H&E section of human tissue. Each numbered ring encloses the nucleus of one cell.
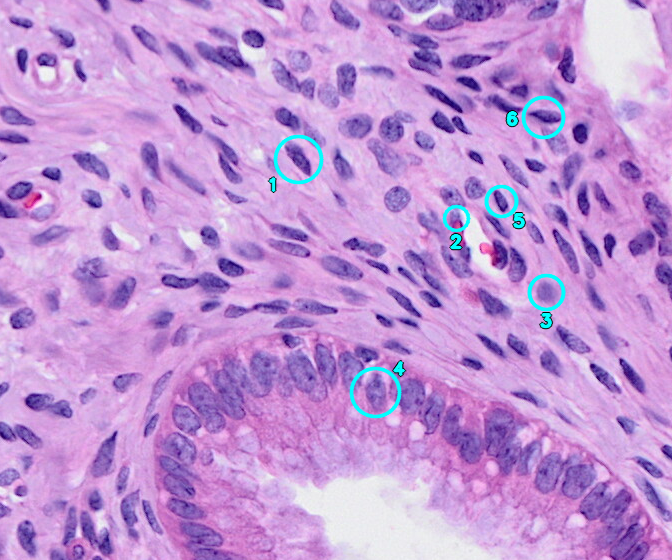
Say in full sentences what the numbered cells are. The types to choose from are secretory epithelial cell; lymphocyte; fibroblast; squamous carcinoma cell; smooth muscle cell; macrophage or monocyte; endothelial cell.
Cell 1 is a fibroblast, cell 2 is an endothelial cell, cell 3 is a fibroblast, cell 4 is a secretory epithelial cell, cell 5 is a fibroblast and cell 6 is a fibroblast.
